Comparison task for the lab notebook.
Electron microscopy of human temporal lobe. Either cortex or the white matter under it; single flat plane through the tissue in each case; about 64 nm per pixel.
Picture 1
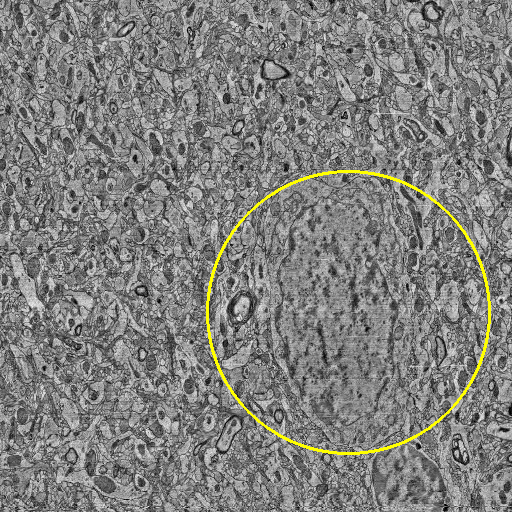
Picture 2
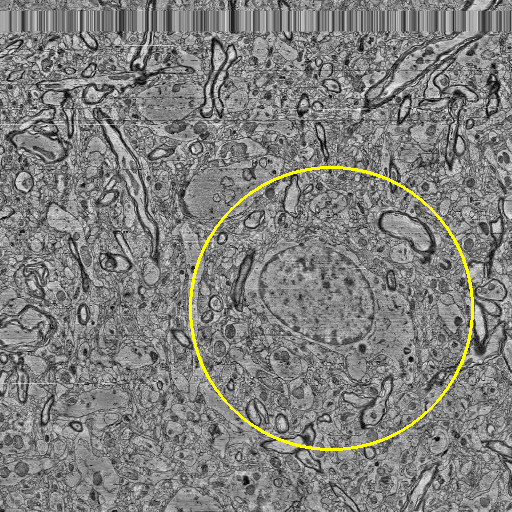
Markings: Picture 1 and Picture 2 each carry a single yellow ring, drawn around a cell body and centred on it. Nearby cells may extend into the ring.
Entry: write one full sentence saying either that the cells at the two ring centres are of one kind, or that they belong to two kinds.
The cells sitting at the ring centres in Picture 1 and Picture 2 belong to two kinds.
